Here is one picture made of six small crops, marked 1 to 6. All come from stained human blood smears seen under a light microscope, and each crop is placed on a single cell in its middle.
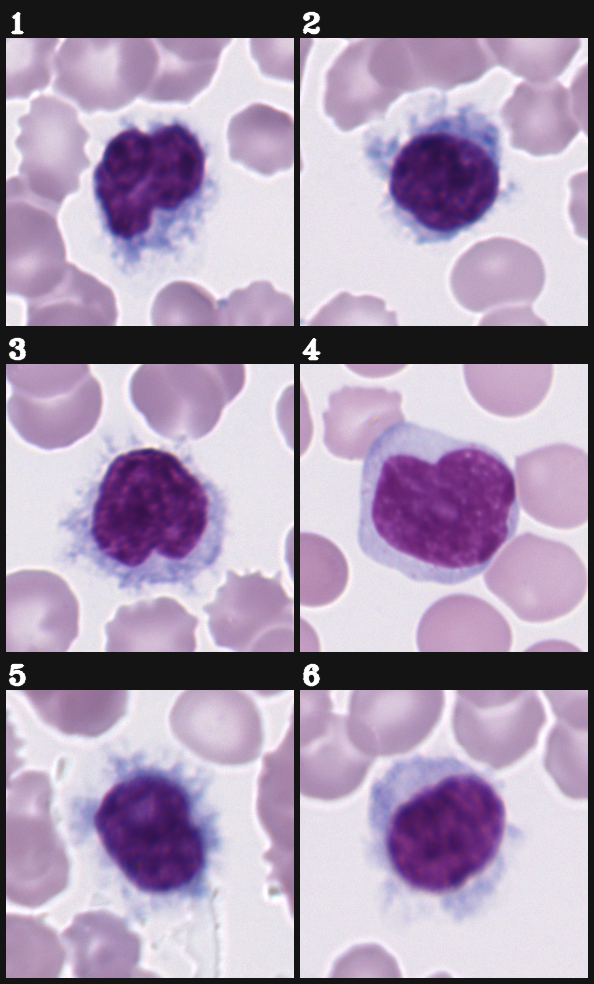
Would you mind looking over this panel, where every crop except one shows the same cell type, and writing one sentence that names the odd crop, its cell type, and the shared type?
The exception in this group is crop 4, a typical lymphocyte, and the others are all hairy cells.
